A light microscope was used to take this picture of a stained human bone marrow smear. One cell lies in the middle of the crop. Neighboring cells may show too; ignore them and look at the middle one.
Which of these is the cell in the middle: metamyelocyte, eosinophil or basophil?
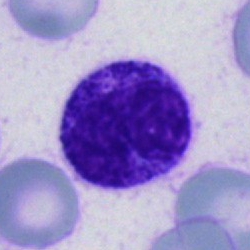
basophil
